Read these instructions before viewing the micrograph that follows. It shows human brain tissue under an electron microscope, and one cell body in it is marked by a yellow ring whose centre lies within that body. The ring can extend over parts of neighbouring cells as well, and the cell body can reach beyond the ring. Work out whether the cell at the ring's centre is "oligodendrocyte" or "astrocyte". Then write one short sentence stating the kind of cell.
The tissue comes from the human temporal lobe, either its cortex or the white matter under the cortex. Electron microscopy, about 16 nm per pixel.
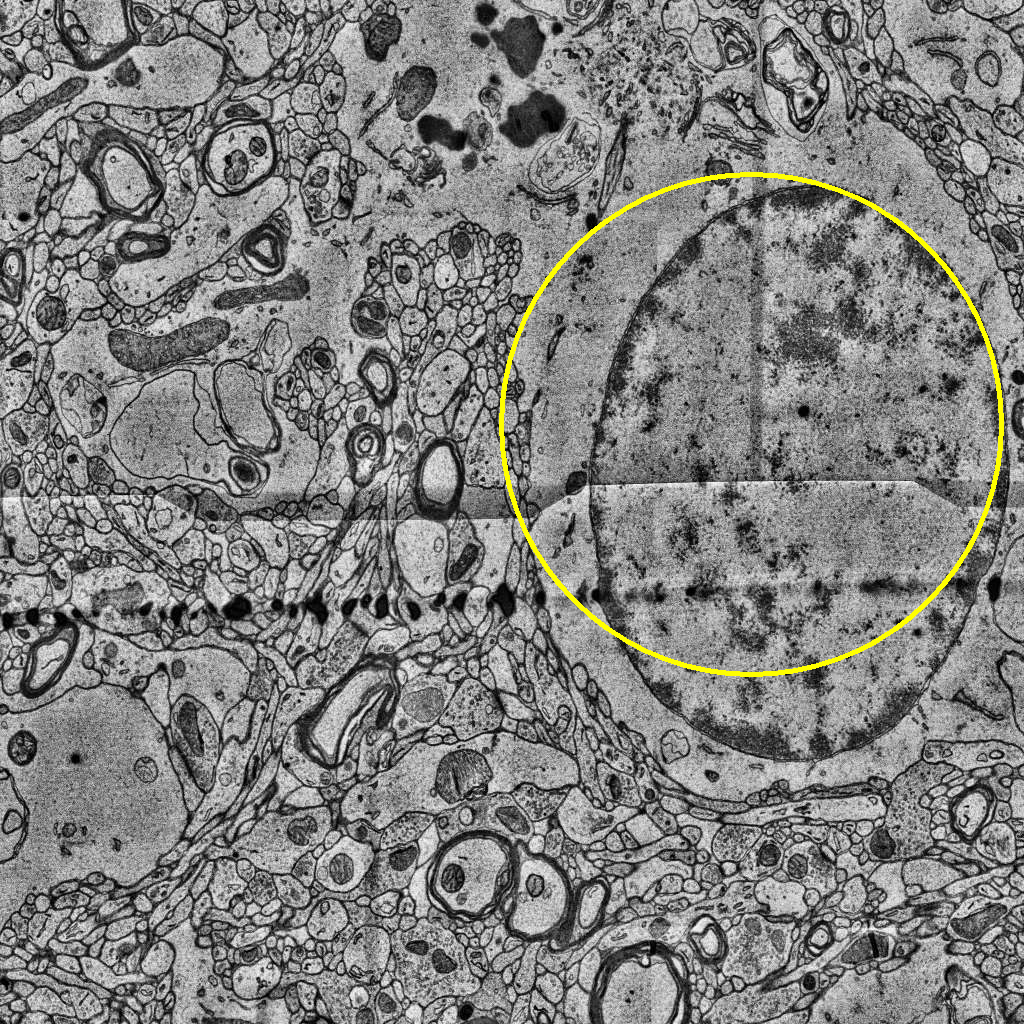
The cell at the ring's centre is an astrocyte.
